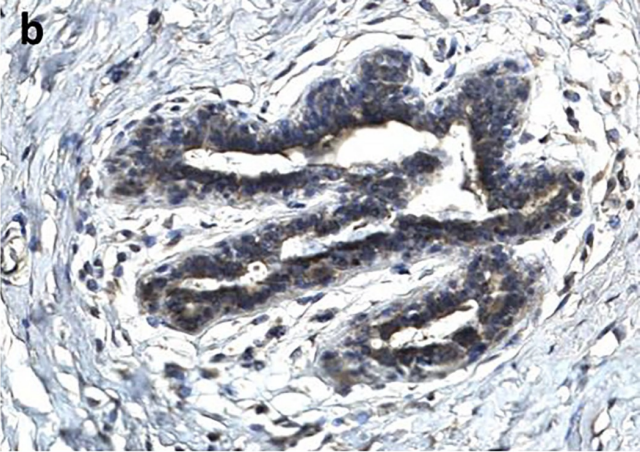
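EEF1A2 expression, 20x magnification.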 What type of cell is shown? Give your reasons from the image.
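A single larger branching tubular structure with an elongated open lumen. The lumen is lined by several layers of epithelial cells with blue nuclei and brown cytoplasm. The structure is surrounded by fibrous stroma.
Ductal cells.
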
